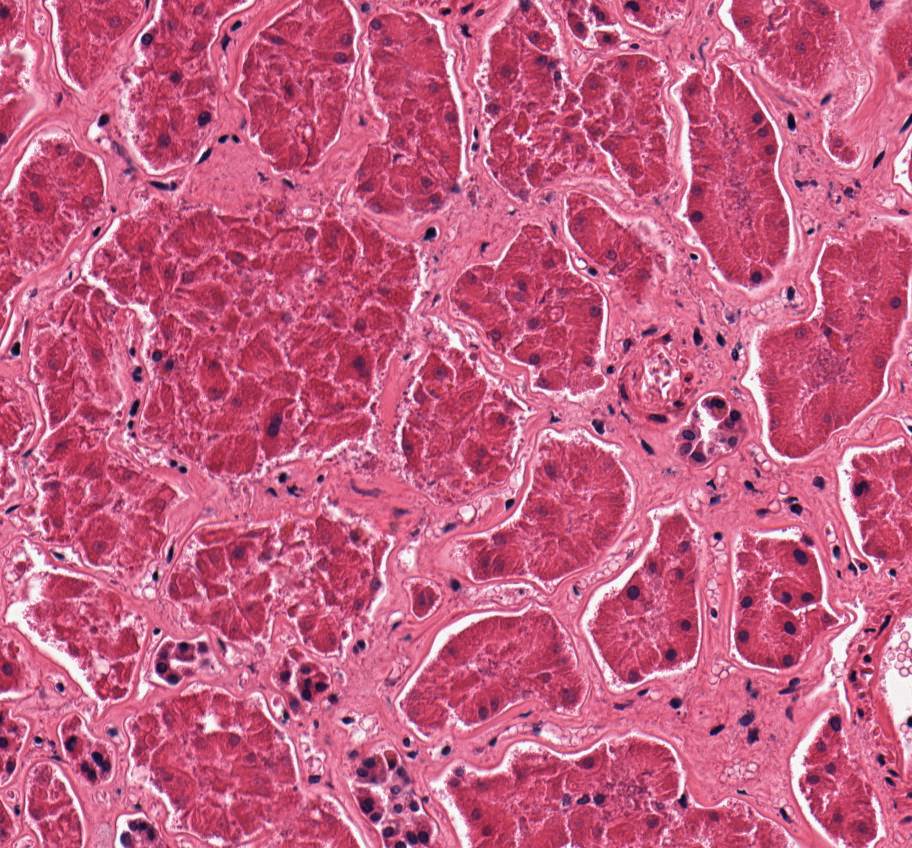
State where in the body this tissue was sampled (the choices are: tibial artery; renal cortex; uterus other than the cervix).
renal cortex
